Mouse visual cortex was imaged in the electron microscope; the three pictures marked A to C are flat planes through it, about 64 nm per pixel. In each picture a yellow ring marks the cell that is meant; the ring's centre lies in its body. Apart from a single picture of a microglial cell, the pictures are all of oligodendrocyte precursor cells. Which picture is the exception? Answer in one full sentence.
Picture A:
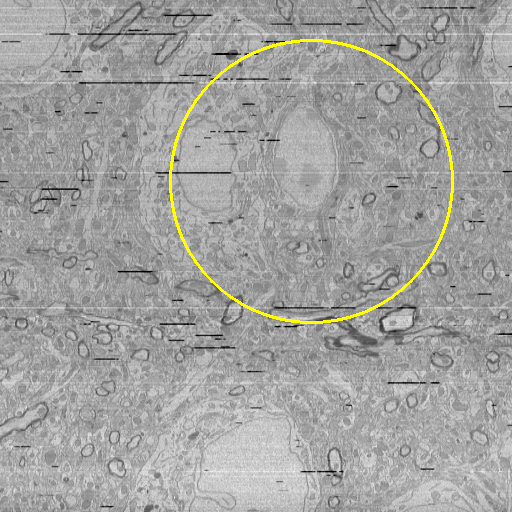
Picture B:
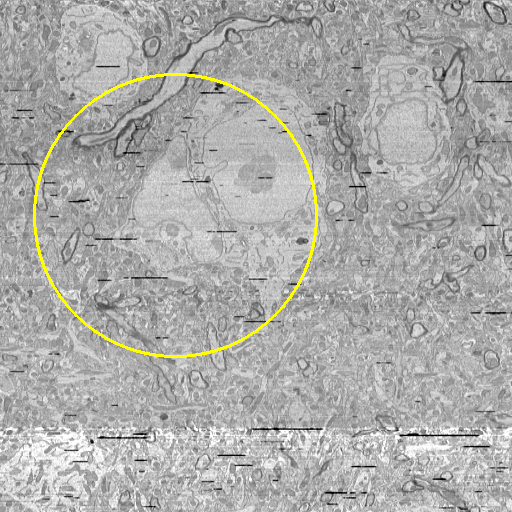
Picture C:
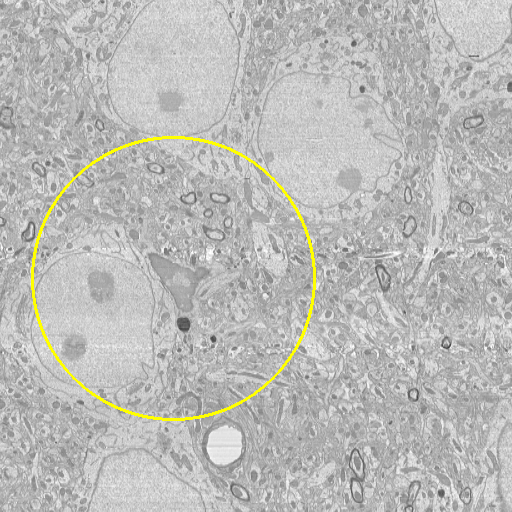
It is picture C that shows the microglial cell.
